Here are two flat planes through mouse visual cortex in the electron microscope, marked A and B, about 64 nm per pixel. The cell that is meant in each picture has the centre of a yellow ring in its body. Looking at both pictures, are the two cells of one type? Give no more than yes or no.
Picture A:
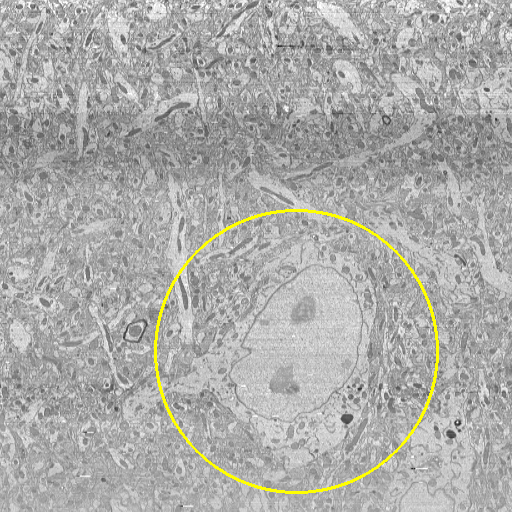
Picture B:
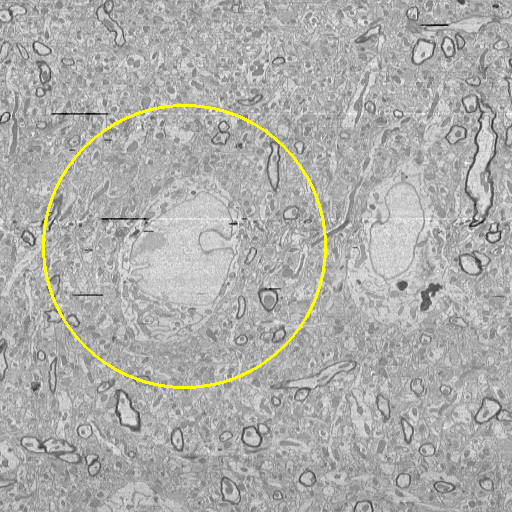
no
